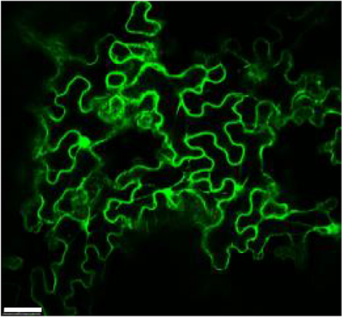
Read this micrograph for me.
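These are epidermal cells seen from the surface, with wavy, lobed outlines that fit together like jigsaw pieces. Green fluorescence lies in a thin rim along the edge of each cell, following every lobe. Fine green strands cross the interior of some cells, and a few brighter green spots are present along the outlines. The cell interiors are otherwise dark.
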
